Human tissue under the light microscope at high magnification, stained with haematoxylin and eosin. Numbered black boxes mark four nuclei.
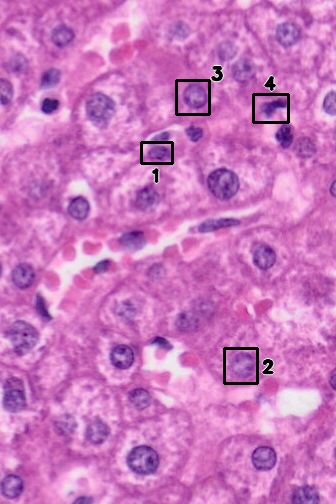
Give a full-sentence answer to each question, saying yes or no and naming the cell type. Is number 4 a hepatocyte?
No, the marked cell 4 is not a hepatocyte, being instead an endothelial cell.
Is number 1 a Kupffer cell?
Yes, for number 1, the cell is a Kupffer cell.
